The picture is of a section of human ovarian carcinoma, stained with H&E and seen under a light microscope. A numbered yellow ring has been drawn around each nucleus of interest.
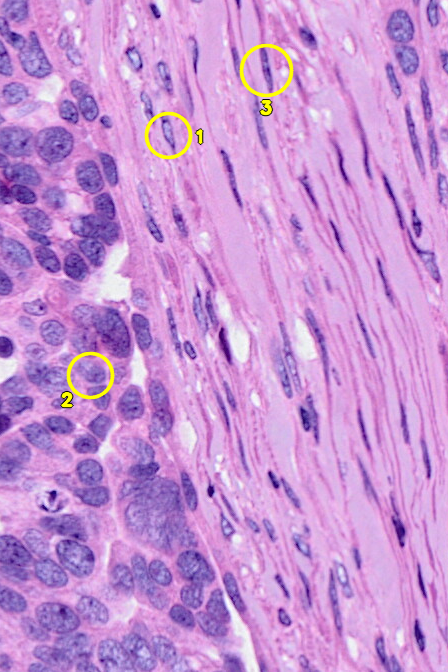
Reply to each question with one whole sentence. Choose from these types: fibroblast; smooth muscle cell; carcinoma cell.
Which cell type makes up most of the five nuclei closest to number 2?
Around number 2, most of the five nearest nuclei are those of carcinoma cells.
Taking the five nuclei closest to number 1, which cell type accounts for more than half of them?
Of the five nuclei nearest to number 1, most belong to fibroblasts.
